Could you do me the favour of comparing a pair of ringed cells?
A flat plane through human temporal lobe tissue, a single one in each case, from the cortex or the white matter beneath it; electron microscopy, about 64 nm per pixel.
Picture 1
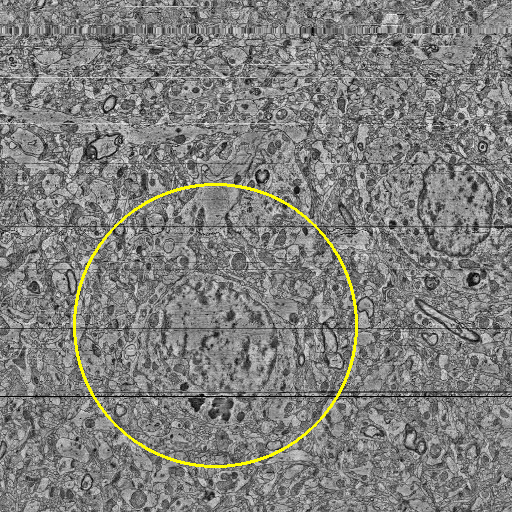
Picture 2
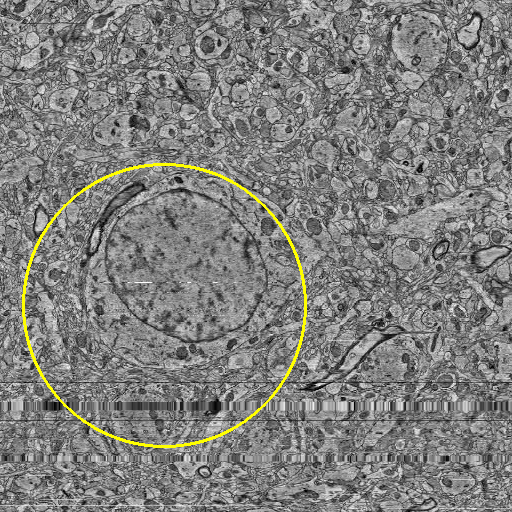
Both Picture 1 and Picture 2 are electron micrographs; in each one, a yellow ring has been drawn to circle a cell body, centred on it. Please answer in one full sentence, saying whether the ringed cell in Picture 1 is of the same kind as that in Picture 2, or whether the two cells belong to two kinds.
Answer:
The ringed cells in Picture 1 and Picture 2 belong to two kinds.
